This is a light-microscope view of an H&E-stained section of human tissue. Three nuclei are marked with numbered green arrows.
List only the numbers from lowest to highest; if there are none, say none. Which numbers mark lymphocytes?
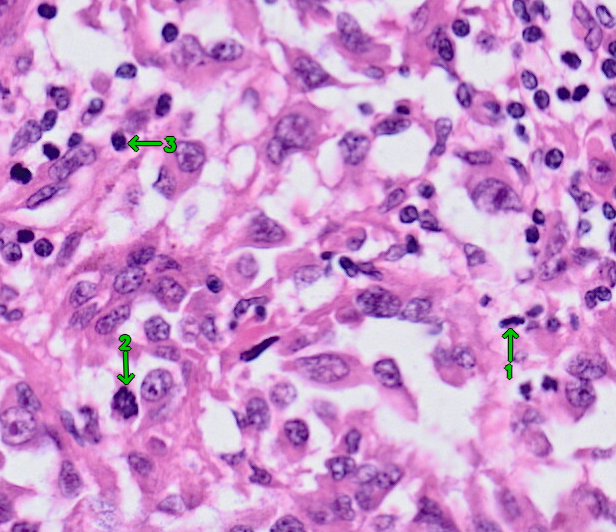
1, 3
